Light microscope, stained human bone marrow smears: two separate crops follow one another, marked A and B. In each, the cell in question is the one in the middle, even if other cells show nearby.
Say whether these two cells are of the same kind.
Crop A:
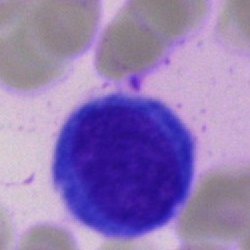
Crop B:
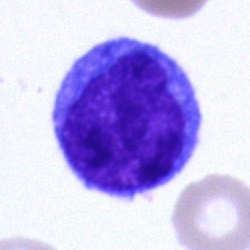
yes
